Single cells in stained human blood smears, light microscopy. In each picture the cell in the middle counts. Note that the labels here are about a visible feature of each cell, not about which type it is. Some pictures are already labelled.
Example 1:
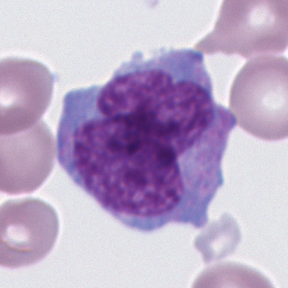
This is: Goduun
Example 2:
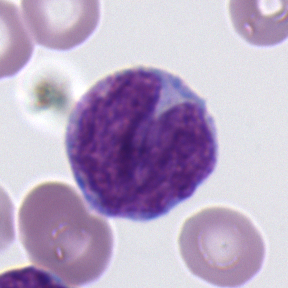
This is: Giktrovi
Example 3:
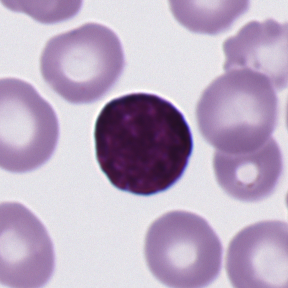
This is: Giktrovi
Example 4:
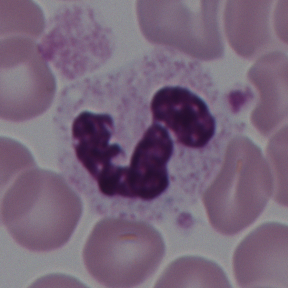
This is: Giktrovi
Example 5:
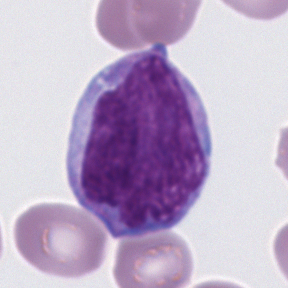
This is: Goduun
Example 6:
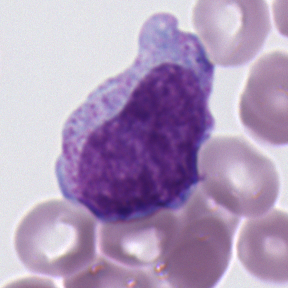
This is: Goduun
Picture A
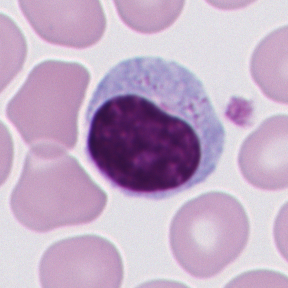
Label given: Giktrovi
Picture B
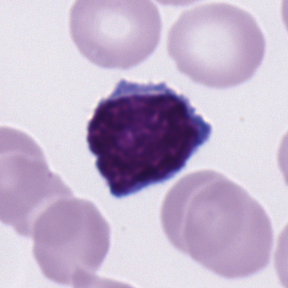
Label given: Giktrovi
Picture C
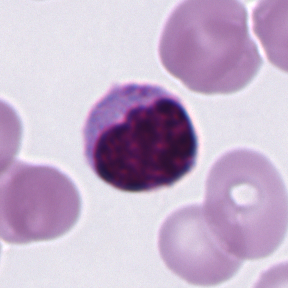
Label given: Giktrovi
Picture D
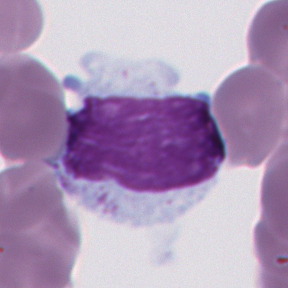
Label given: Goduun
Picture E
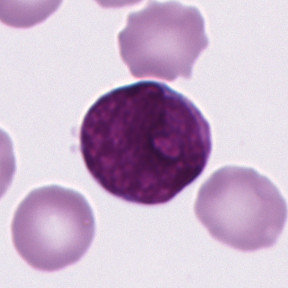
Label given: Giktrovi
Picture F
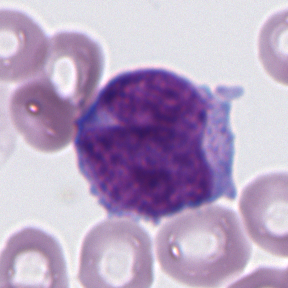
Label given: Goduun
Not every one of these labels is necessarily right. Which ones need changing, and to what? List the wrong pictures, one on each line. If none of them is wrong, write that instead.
B: change Giktrovi to Goduun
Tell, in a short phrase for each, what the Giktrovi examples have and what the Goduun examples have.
Seen in Giktrovi: smooth outline; seen in Goduun: ragged outline or projections.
